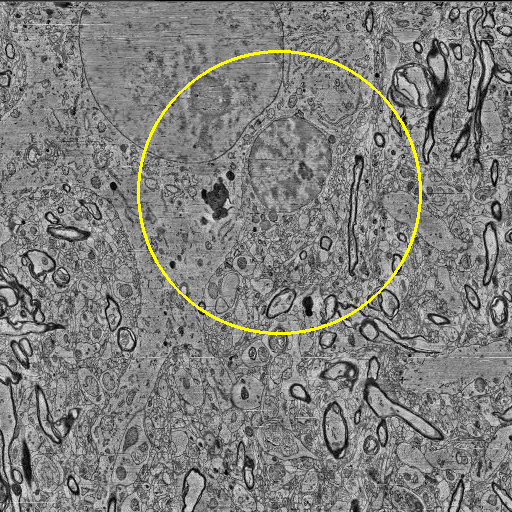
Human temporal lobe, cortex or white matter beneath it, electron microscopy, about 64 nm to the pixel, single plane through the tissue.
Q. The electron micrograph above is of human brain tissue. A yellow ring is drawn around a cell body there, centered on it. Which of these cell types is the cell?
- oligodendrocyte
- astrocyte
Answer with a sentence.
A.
The cell under the ring's center is an oligodendrocyte.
